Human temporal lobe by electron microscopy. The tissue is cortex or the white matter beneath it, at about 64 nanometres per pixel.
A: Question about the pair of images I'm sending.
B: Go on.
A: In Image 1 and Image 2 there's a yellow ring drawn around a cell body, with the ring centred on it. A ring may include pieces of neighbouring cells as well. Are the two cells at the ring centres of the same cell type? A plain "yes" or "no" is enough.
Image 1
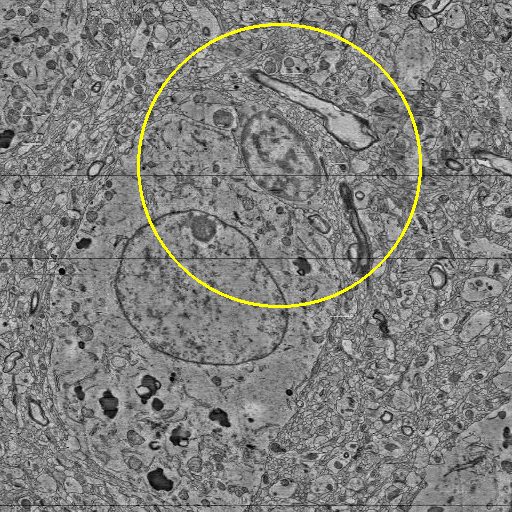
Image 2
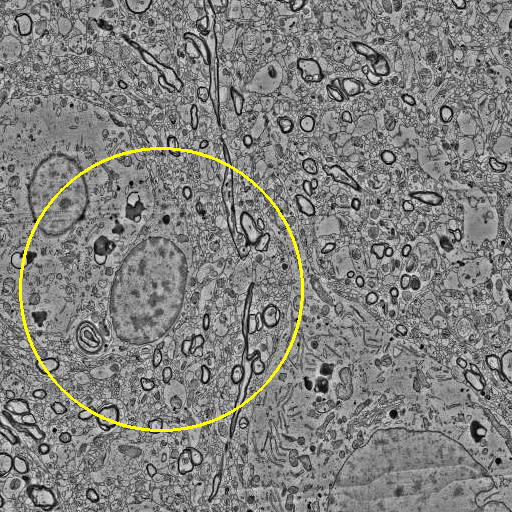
yes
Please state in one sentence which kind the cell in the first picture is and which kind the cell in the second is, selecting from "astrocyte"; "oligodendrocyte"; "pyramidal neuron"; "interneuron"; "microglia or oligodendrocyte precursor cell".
Both pictures show an oligodendrocyte at the centre of the ring.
